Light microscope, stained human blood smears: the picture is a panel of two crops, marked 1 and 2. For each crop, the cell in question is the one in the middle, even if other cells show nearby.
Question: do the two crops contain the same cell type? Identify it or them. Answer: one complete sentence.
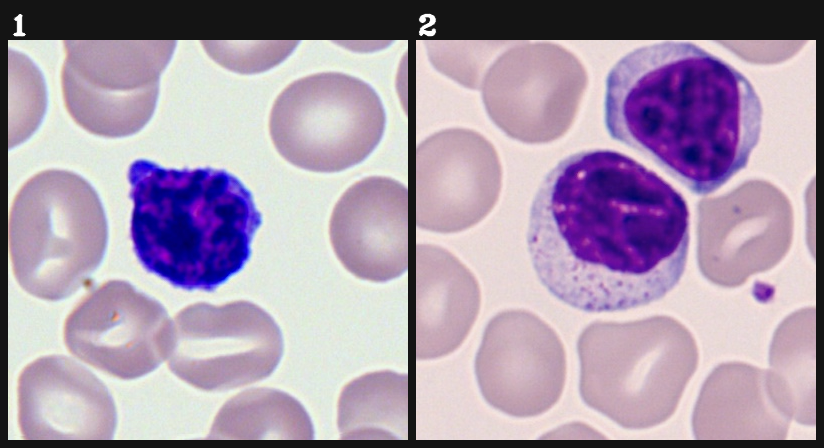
Yes, both crops show lymphocytes, and the two match.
